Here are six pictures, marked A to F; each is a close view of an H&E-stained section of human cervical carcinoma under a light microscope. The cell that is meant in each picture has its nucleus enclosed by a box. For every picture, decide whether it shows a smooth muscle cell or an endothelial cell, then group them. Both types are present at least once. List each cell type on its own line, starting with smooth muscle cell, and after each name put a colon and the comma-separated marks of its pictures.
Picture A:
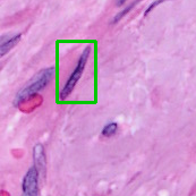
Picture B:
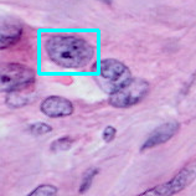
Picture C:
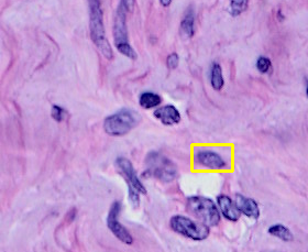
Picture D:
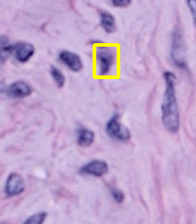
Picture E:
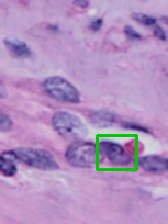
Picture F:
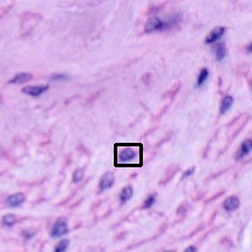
smooth muscle cell: D, F
endothelial cell: A, B, C, E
